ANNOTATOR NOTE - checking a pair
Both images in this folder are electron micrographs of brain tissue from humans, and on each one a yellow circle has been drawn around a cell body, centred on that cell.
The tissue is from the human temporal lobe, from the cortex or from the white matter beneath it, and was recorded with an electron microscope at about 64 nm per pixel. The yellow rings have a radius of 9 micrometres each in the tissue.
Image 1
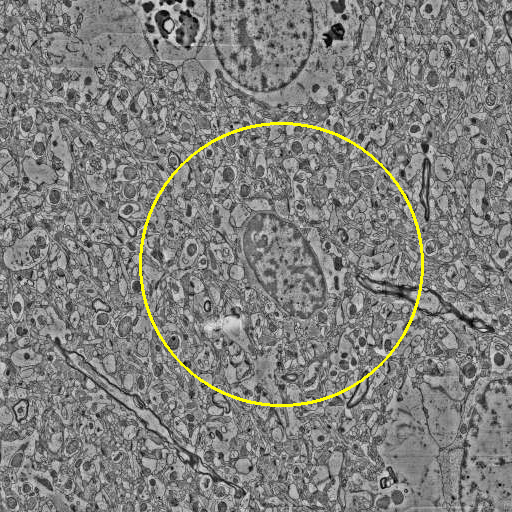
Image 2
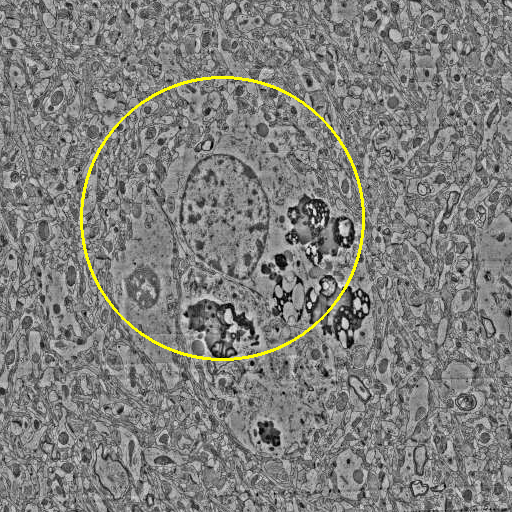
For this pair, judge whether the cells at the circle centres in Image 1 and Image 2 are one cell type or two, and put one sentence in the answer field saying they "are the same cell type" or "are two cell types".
For this pair, the cells at the circle centres in Images 1 and 2 are two cell types.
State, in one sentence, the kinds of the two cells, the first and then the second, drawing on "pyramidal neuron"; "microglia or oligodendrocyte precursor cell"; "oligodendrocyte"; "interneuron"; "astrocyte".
The ring in the second picture is centred on an astrocyte, the ring in the first on an oligodendrocyte.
